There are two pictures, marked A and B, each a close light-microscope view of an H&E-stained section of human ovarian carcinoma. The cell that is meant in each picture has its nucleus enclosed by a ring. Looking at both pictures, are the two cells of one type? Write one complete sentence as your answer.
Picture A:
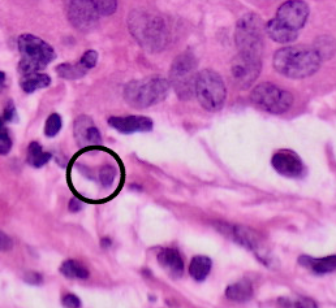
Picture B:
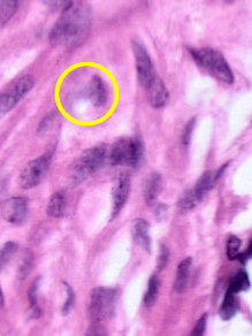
No. Picture A shows a “macrophage or monocyte”, but picture B shows a fibroblast.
